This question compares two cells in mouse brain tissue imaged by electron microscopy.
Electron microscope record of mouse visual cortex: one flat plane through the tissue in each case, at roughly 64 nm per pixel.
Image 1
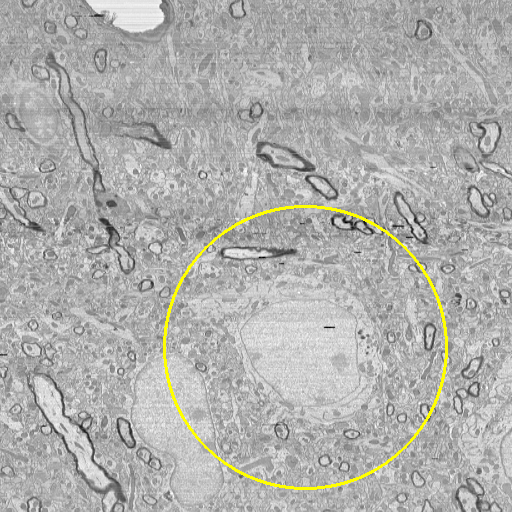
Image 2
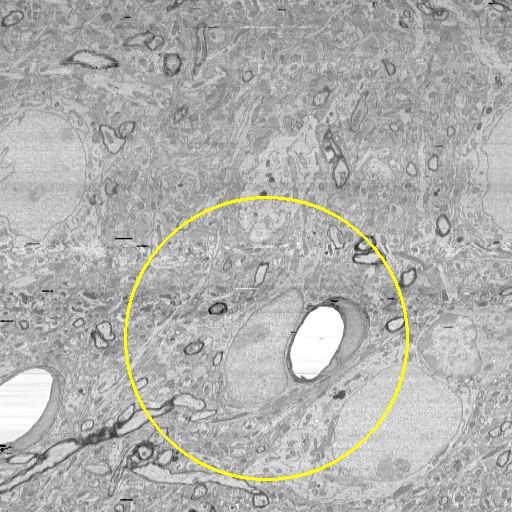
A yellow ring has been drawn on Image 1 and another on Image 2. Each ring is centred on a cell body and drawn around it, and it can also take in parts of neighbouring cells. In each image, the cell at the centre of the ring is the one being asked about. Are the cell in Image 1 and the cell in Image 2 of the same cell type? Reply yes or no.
no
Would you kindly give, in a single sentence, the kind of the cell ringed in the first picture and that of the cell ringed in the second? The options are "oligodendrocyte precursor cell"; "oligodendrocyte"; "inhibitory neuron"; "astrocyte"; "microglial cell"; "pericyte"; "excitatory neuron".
The second cell is an astrocyte, and the first cell is an excitatory neuron.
